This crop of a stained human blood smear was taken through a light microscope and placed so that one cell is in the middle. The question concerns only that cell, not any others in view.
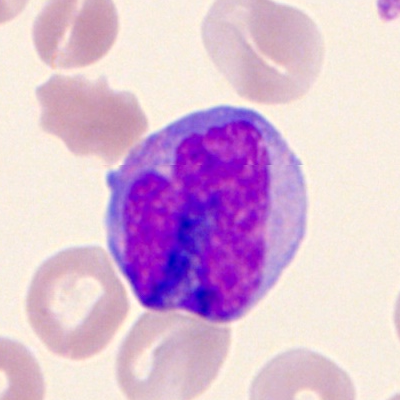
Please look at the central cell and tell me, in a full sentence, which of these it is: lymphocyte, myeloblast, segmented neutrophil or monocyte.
Present in the middle of the crop is a myeloblast.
